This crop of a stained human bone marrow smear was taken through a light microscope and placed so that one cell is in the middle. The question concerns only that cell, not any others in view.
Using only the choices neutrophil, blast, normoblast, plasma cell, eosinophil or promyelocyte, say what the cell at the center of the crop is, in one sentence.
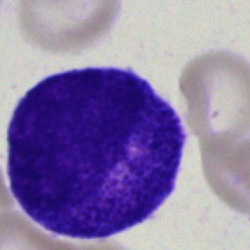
The cell centred in this crop is categorized as a promyelocyte.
